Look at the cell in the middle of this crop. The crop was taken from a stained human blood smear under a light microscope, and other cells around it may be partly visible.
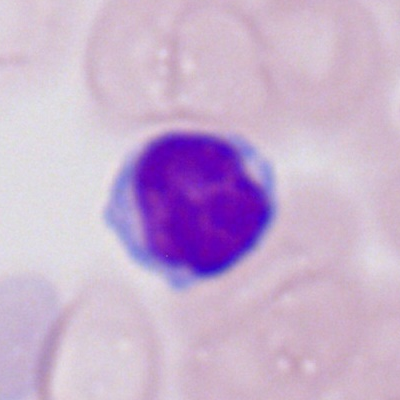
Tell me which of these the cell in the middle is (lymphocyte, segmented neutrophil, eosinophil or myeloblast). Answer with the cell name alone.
lymphocyte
